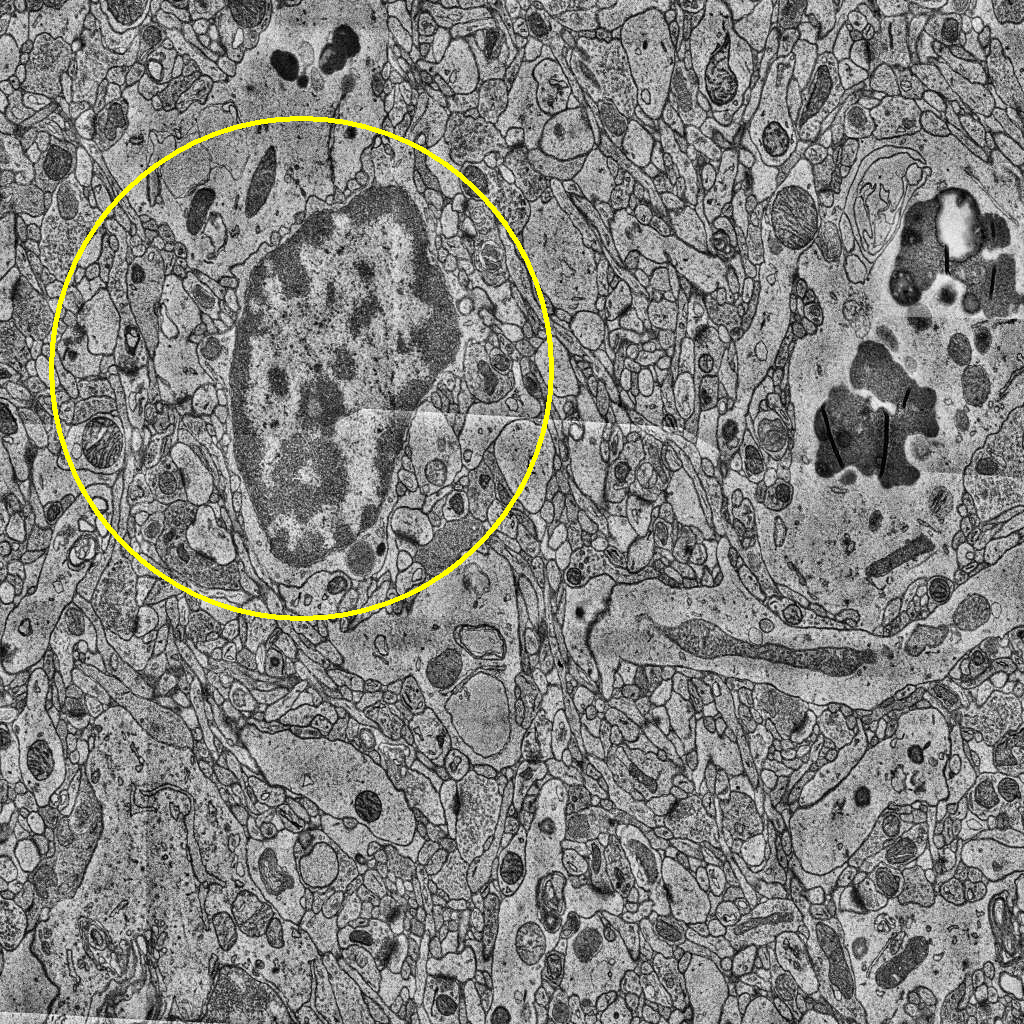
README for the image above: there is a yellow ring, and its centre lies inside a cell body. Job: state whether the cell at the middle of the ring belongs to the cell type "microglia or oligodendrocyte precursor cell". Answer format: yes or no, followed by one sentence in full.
Yes, the cell lying at the middle of the ring in the image belongs to that type.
